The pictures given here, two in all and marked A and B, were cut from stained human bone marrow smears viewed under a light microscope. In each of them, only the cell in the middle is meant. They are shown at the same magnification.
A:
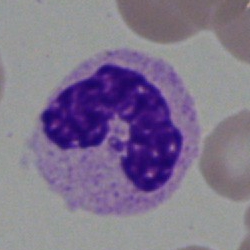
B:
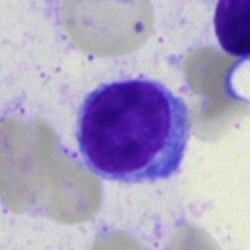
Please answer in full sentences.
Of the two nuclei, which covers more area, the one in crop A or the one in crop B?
Larger is the nucleus in crop A, at roughly 1.5 times the area of the other.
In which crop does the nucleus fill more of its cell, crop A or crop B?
The nucleus fills more of the cell in crop B than in crop A.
